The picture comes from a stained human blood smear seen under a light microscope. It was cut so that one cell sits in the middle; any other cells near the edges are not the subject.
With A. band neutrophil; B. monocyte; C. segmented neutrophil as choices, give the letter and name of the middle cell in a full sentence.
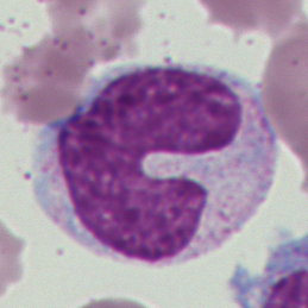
Option A stands as correct, the central cell being a band neutrophil.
